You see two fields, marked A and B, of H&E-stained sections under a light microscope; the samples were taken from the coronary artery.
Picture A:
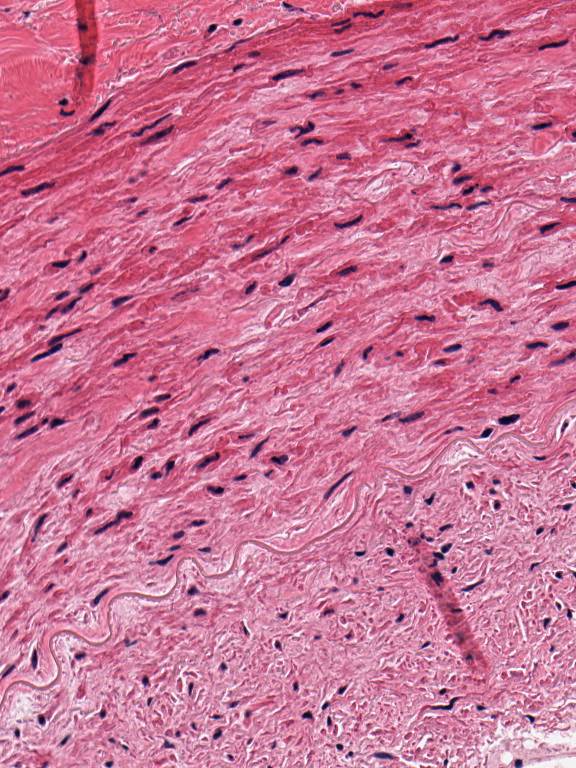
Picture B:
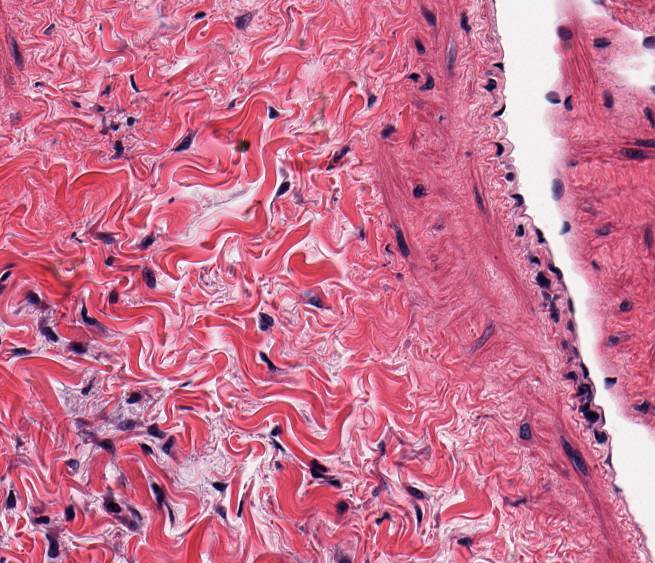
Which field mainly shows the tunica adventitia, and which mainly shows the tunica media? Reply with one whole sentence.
Picture A mainly shows the tunica media and picture B mainly shows the tunica adventitia.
